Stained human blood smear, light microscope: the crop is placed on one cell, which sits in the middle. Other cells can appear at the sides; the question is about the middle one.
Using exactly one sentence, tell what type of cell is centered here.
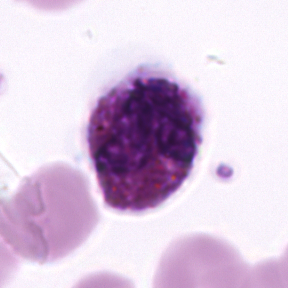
The cell of interest, located centrally, is an eosinophil.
